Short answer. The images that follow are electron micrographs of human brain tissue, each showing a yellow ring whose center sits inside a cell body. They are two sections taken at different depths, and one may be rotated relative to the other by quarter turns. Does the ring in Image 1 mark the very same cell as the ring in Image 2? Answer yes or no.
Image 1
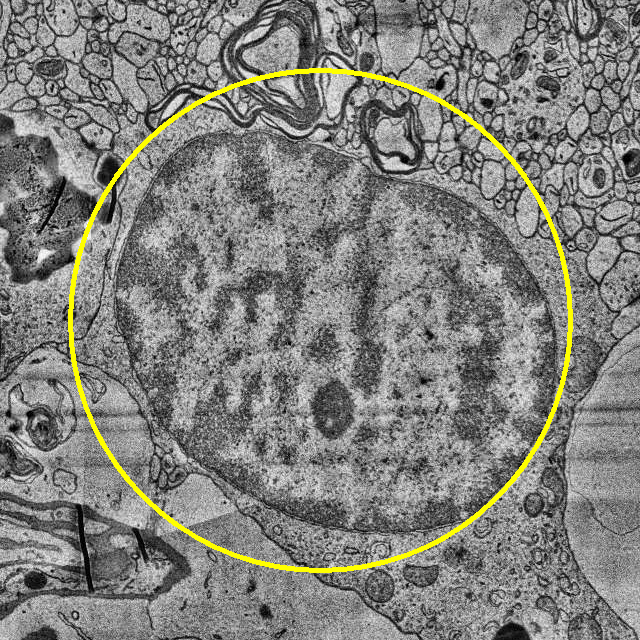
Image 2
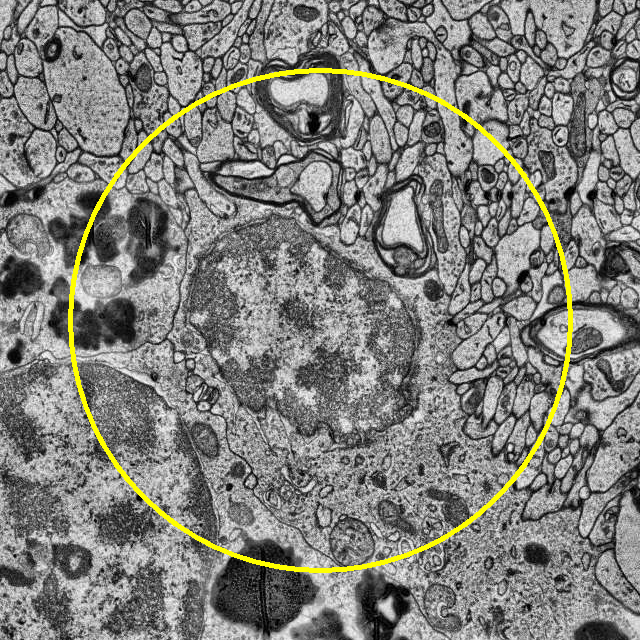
yes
